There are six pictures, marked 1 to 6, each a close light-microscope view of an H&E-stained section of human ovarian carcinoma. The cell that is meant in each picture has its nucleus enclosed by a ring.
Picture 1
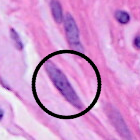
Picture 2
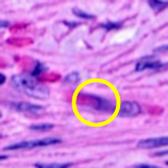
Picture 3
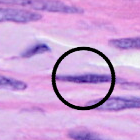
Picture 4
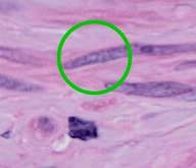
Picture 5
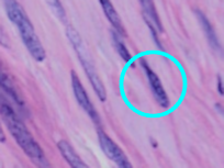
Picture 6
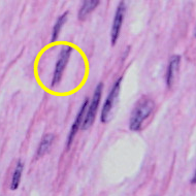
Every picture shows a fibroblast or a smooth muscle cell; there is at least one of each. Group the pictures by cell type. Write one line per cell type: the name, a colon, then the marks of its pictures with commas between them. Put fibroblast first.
fibroblast: 2, 6
smooth muscle cell: 1, 3, 4, 5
